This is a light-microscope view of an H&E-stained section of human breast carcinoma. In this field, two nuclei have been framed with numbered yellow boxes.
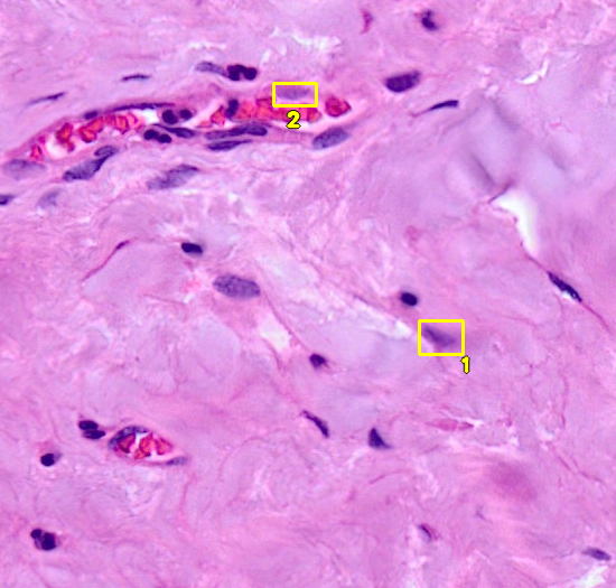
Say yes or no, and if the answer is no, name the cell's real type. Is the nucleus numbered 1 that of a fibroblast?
Yes.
